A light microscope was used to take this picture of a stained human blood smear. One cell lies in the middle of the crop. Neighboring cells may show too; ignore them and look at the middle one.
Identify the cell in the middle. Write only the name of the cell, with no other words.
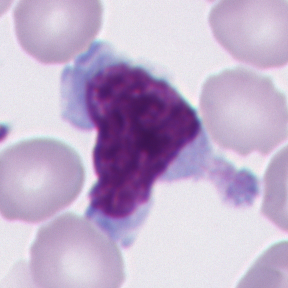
typical lymphocyte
